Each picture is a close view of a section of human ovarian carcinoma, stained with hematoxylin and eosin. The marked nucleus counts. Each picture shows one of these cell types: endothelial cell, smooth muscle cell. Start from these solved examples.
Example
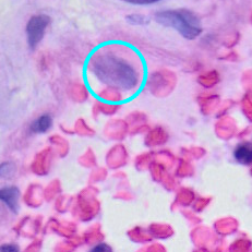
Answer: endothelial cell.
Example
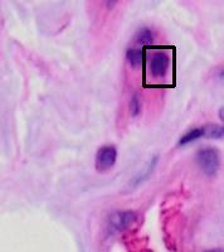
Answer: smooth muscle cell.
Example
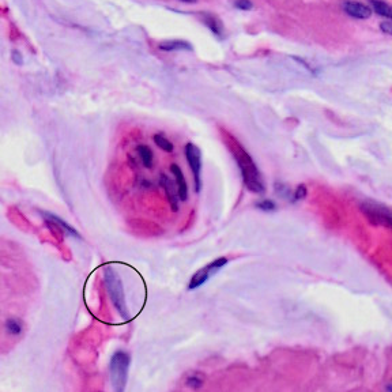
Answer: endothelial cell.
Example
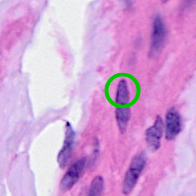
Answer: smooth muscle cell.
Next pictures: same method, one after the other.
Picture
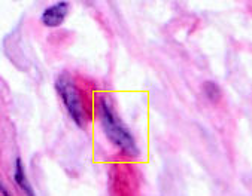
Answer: endothelial cell.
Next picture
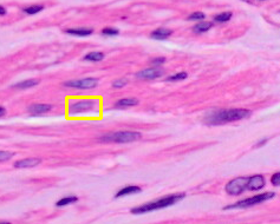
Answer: smooth muscle cell.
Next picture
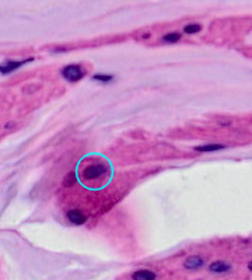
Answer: smooth muscle cell.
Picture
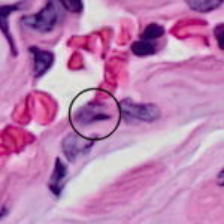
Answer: endothelial cell.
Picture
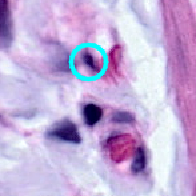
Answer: endothelial cell.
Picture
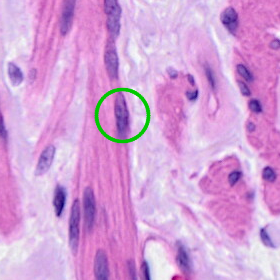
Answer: smooth muscle cell.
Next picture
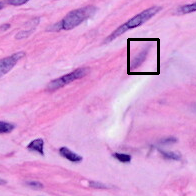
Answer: smooth muscle cell.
